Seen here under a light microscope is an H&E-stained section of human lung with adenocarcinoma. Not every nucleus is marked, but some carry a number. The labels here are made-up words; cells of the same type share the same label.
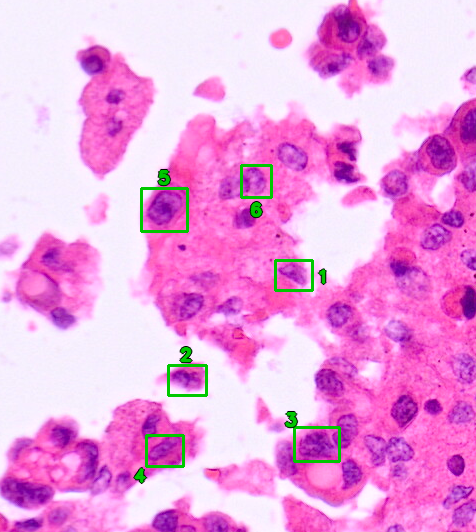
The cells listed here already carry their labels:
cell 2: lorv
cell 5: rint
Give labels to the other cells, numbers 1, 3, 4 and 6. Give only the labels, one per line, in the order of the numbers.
lorv
rint
rint
lorv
